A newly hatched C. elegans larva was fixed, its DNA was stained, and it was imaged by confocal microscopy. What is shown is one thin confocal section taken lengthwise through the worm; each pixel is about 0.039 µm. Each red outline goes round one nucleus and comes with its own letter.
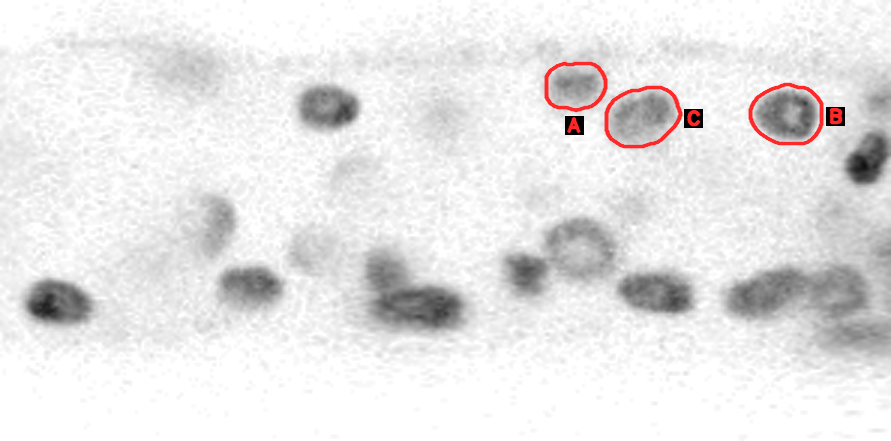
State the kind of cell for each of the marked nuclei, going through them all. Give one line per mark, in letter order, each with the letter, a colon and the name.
A: body wall muscle cell
B: body wall muscle cell
C: intestinal cell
